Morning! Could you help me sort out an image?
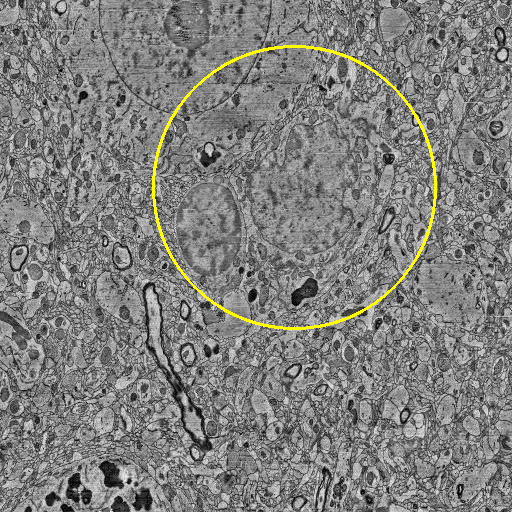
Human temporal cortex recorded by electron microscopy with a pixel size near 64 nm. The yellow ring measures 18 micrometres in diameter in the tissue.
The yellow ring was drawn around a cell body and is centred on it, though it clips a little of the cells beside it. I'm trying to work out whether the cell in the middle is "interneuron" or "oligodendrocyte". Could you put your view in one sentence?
The ringed cell body is that of an interneuron.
